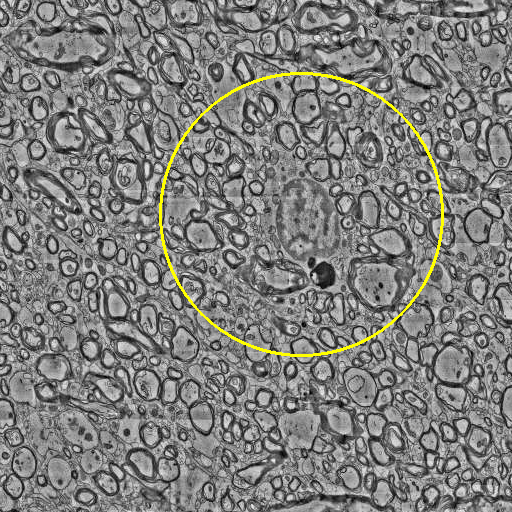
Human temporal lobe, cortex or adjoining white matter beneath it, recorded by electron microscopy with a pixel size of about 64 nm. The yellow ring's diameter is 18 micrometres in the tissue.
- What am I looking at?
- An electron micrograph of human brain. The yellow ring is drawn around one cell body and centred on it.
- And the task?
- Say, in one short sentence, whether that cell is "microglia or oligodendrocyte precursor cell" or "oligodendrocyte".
The cell in the middle of the ring is an oligodendrocyte.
